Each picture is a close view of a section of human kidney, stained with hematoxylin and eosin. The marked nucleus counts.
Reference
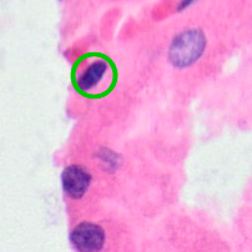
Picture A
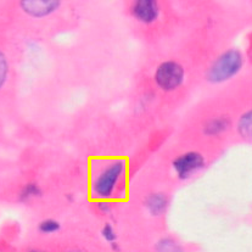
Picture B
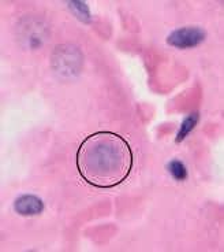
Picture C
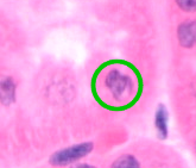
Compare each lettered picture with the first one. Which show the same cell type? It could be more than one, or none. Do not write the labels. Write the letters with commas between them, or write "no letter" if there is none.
A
